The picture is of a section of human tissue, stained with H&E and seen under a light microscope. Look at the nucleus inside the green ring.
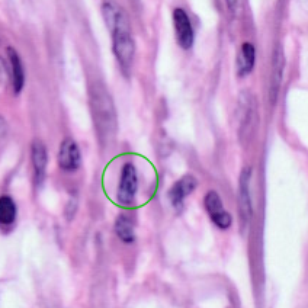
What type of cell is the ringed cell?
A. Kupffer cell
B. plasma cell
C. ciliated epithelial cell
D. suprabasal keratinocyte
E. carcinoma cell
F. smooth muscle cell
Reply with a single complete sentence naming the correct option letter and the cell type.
Settle on option B; the ringed cell is a plasma cell.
